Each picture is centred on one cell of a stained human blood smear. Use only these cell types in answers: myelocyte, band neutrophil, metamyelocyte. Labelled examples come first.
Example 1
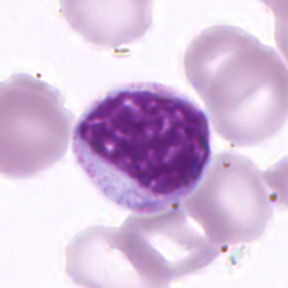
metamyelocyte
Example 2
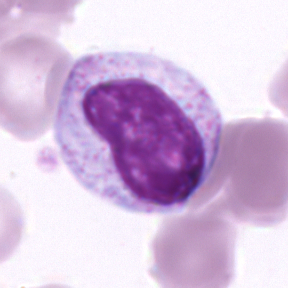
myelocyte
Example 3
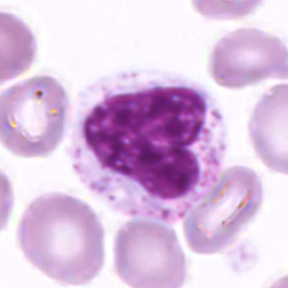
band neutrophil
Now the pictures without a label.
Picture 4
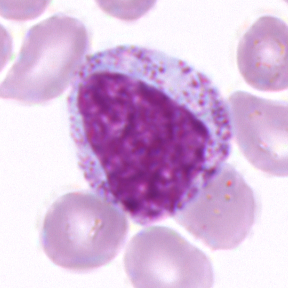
myelocyte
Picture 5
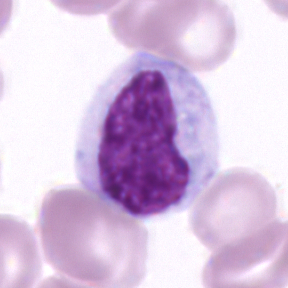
metamyelocyte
